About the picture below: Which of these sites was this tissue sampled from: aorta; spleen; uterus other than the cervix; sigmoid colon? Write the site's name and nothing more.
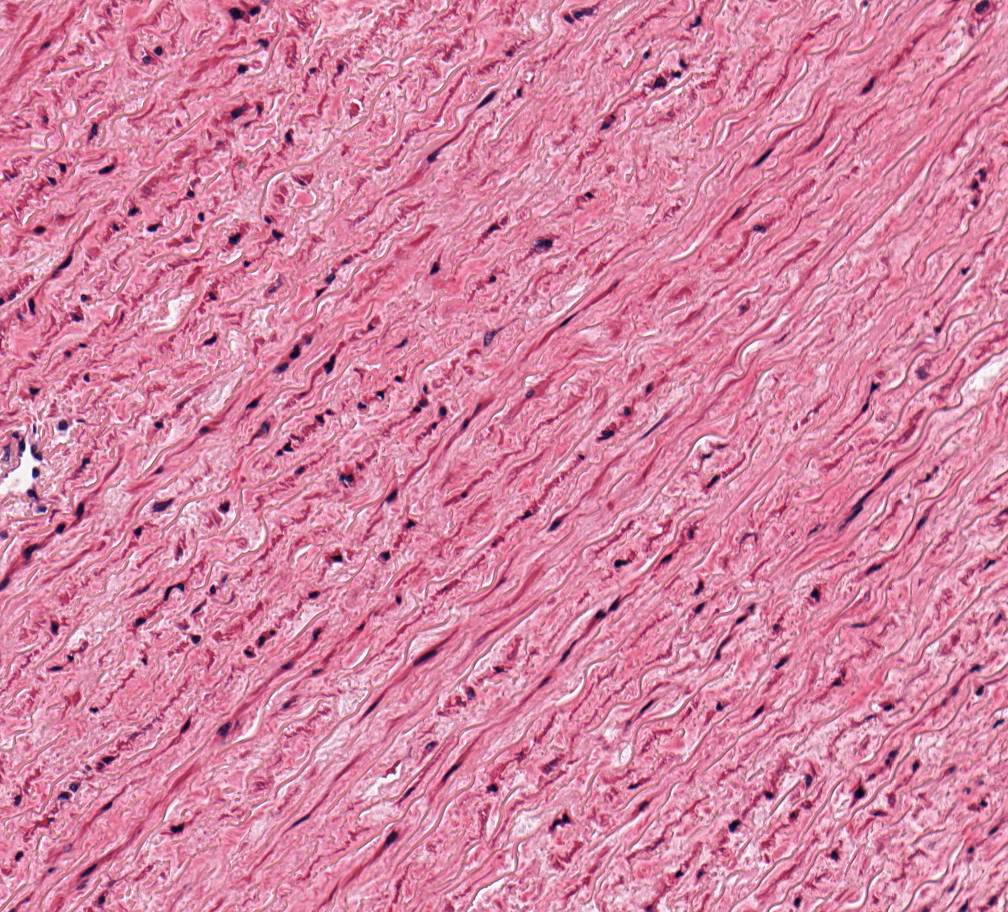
aorta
